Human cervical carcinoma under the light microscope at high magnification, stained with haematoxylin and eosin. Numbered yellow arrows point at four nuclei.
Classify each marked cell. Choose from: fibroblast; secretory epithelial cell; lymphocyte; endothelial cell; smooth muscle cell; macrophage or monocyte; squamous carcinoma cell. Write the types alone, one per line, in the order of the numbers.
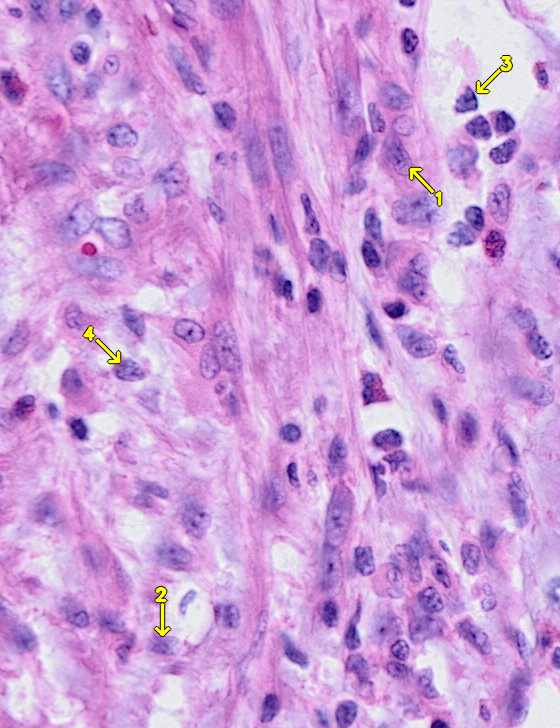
endothelial cell
fibroblast
lymphocyte
macrophage or monocyte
